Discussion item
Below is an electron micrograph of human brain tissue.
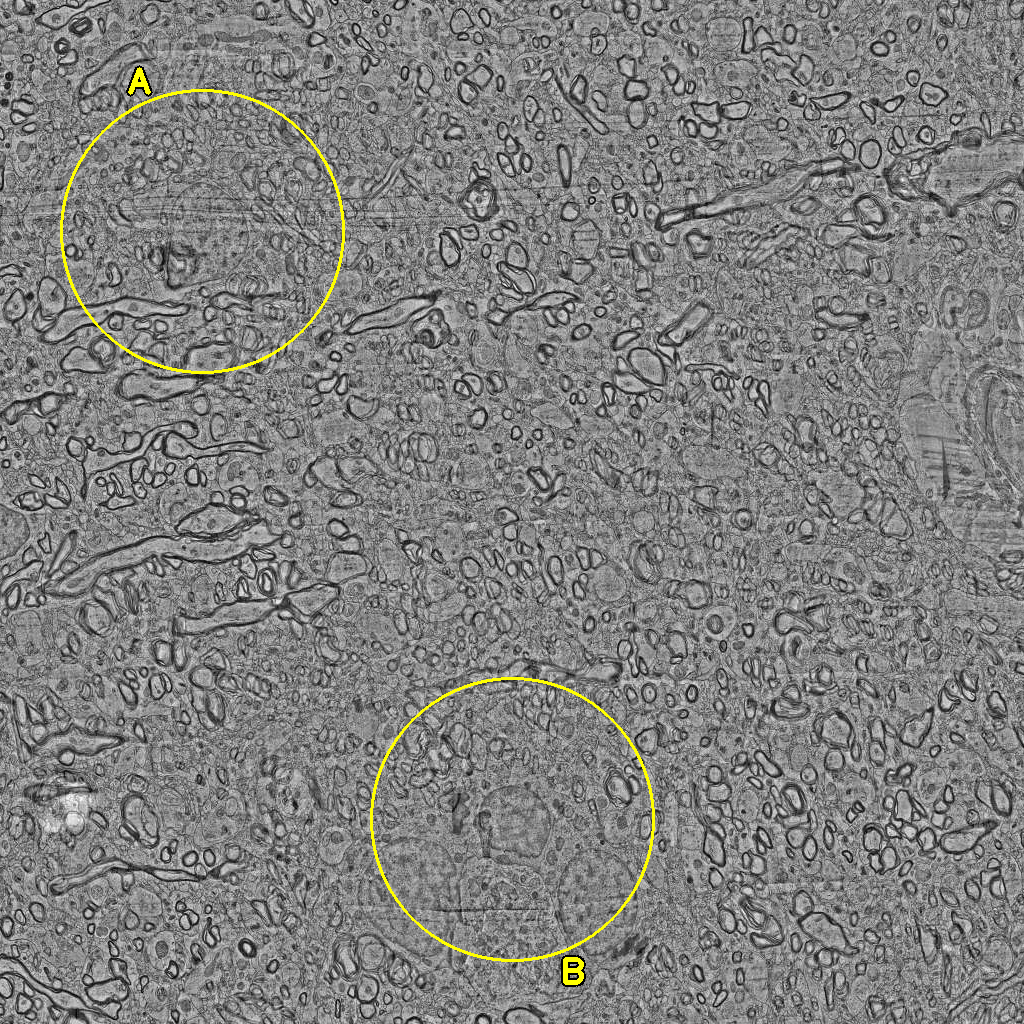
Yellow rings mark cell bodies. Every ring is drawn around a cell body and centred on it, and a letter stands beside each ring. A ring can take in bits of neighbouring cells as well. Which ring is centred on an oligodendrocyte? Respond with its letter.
B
